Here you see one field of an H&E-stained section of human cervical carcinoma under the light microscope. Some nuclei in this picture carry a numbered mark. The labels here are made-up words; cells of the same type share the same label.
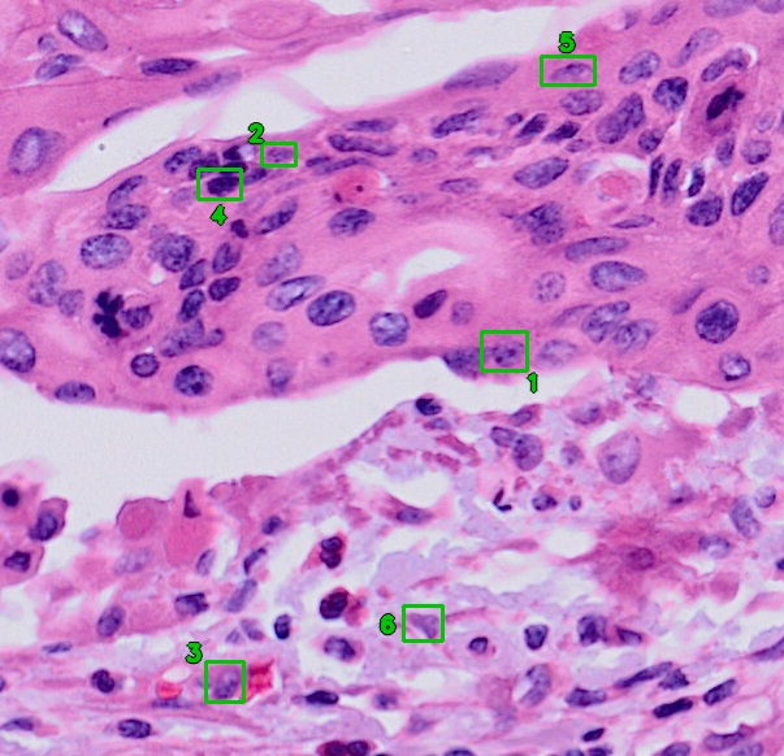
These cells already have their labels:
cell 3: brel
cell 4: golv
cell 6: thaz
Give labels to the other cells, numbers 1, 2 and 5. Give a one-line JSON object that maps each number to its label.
{"1": "golv", "2": "golv", "5": "golv"}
